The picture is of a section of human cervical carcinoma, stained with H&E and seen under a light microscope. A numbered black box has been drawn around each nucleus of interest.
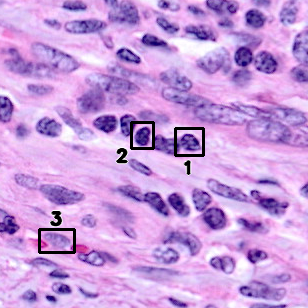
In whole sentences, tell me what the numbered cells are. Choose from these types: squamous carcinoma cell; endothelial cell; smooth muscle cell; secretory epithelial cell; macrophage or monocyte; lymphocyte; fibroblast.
Cell 1 is a lymphocyte, cell 2 is a lymphocyte and cell 3 is an endothelial cell.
